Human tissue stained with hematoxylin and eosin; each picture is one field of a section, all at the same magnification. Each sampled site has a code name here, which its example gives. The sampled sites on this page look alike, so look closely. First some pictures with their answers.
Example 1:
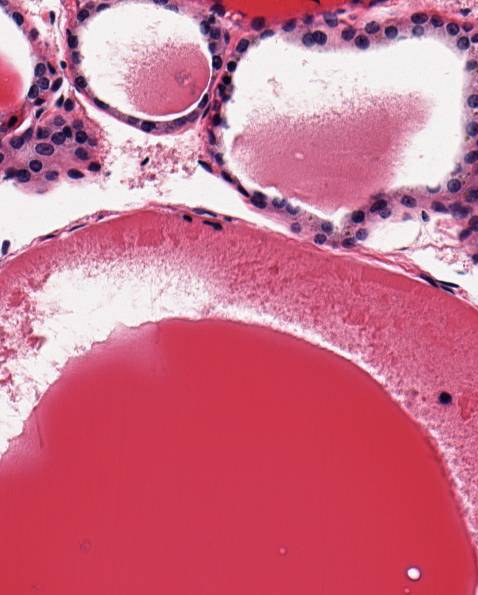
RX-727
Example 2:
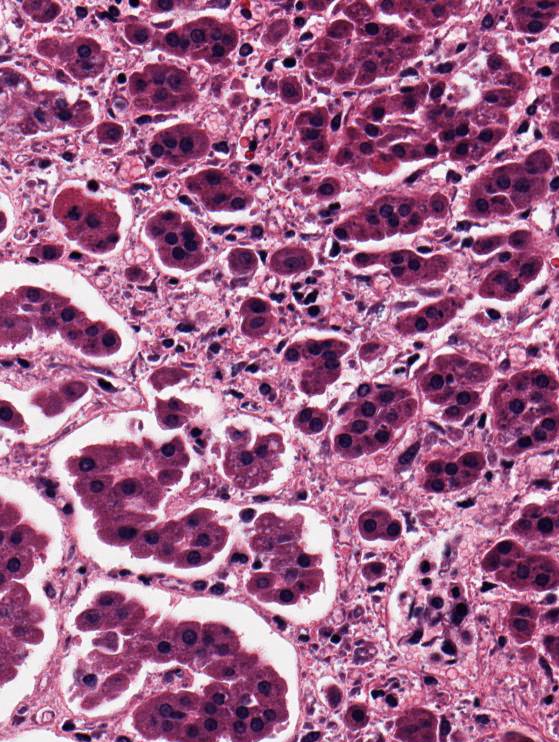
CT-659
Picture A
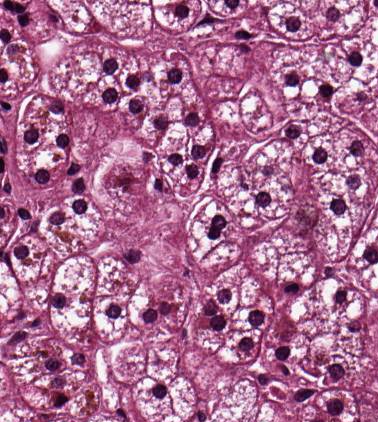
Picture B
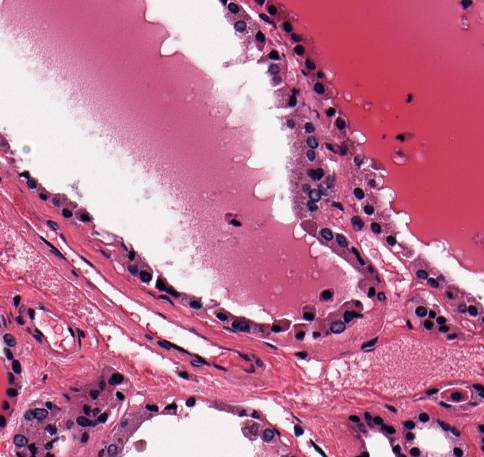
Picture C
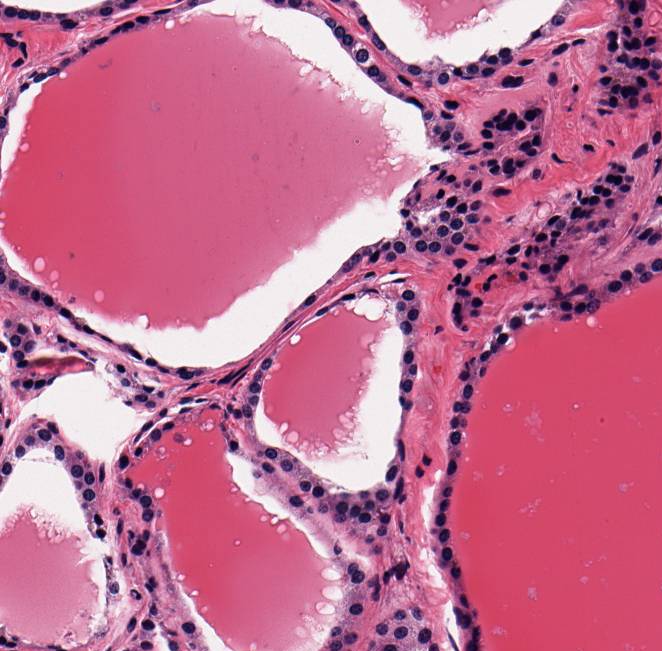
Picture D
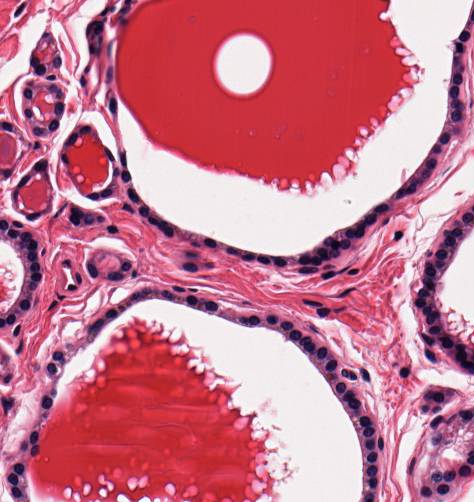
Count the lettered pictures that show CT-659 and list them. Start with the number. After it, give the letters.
1, namely A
